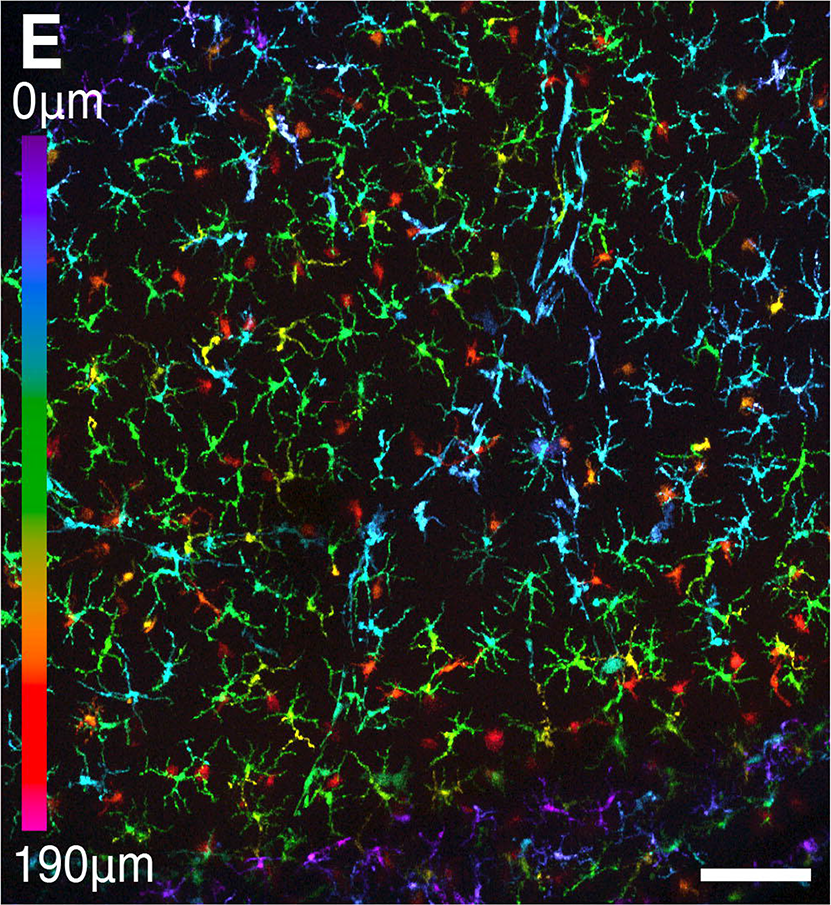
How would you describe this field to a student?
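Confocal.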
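The cells are spaced fairly evenly across the field, and their processes rarely overlap. Green and cyan cells are most numerous, with scattered red ones. Many of the red cells look rounder, with shorter or fewer branches than the others. Purple cells gather along the lower edge.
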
